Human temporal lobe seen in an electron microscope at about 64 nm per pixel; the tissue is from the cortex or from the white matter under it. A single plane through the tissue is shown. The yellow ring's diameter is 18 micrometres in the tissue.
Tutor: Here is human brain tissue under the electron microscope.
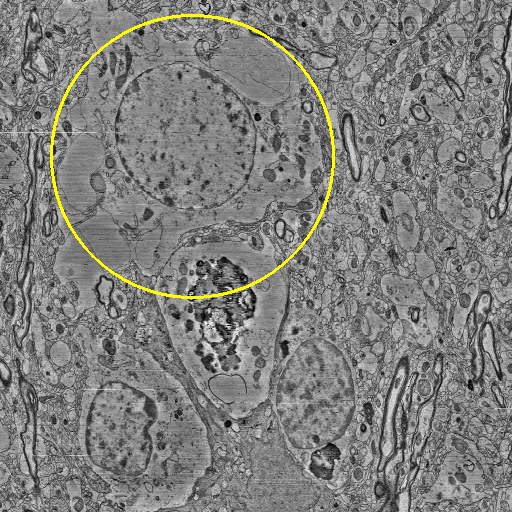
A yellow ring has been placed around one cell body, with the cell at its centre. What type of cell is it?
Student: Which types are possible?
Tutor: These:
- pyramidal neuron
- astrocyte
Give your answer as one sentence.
What the ring picks out here is an astrocyte.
